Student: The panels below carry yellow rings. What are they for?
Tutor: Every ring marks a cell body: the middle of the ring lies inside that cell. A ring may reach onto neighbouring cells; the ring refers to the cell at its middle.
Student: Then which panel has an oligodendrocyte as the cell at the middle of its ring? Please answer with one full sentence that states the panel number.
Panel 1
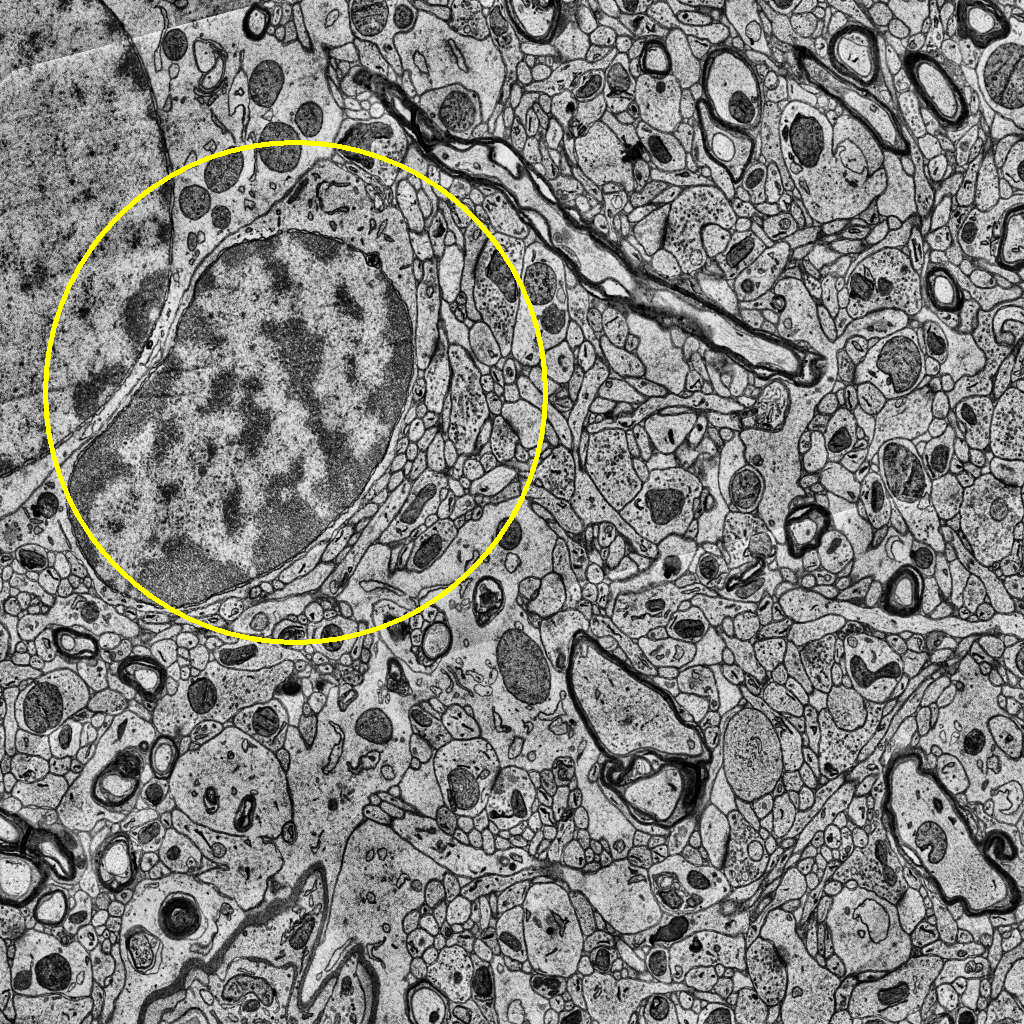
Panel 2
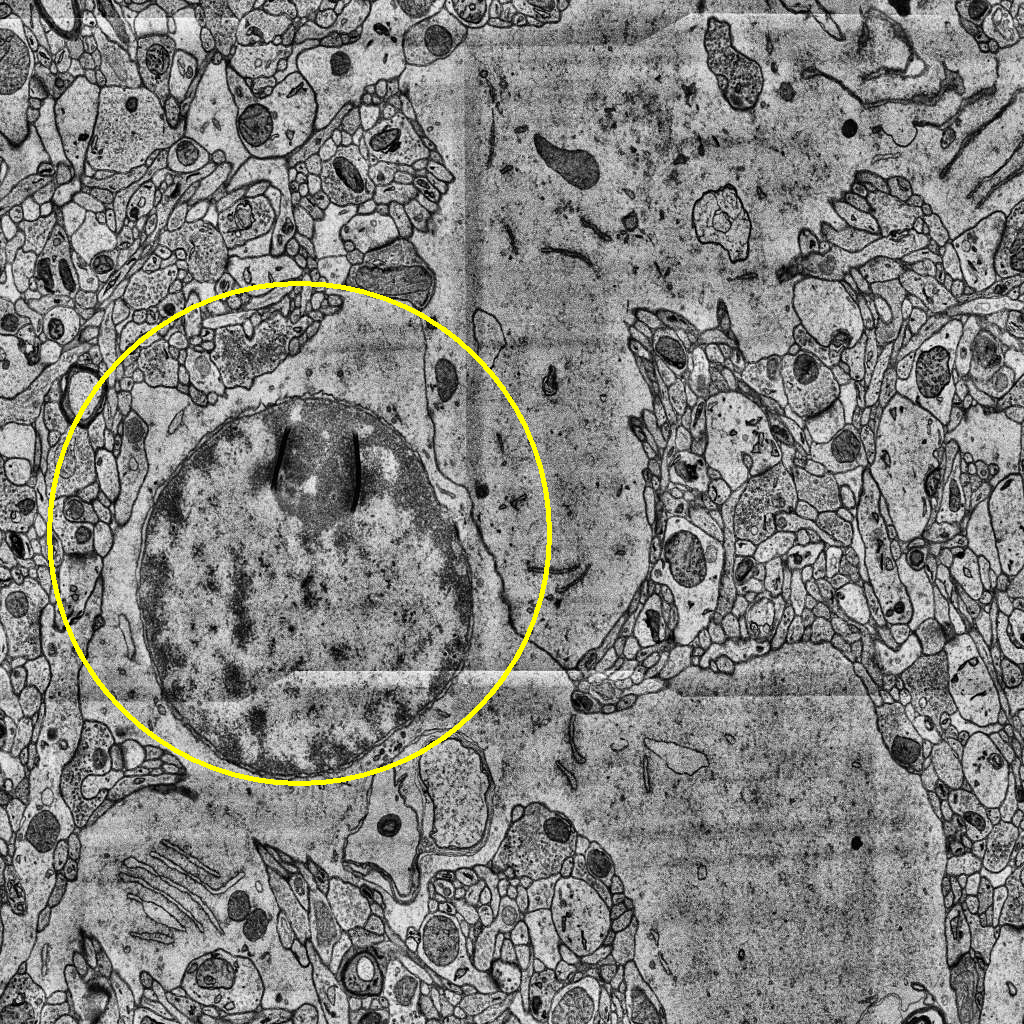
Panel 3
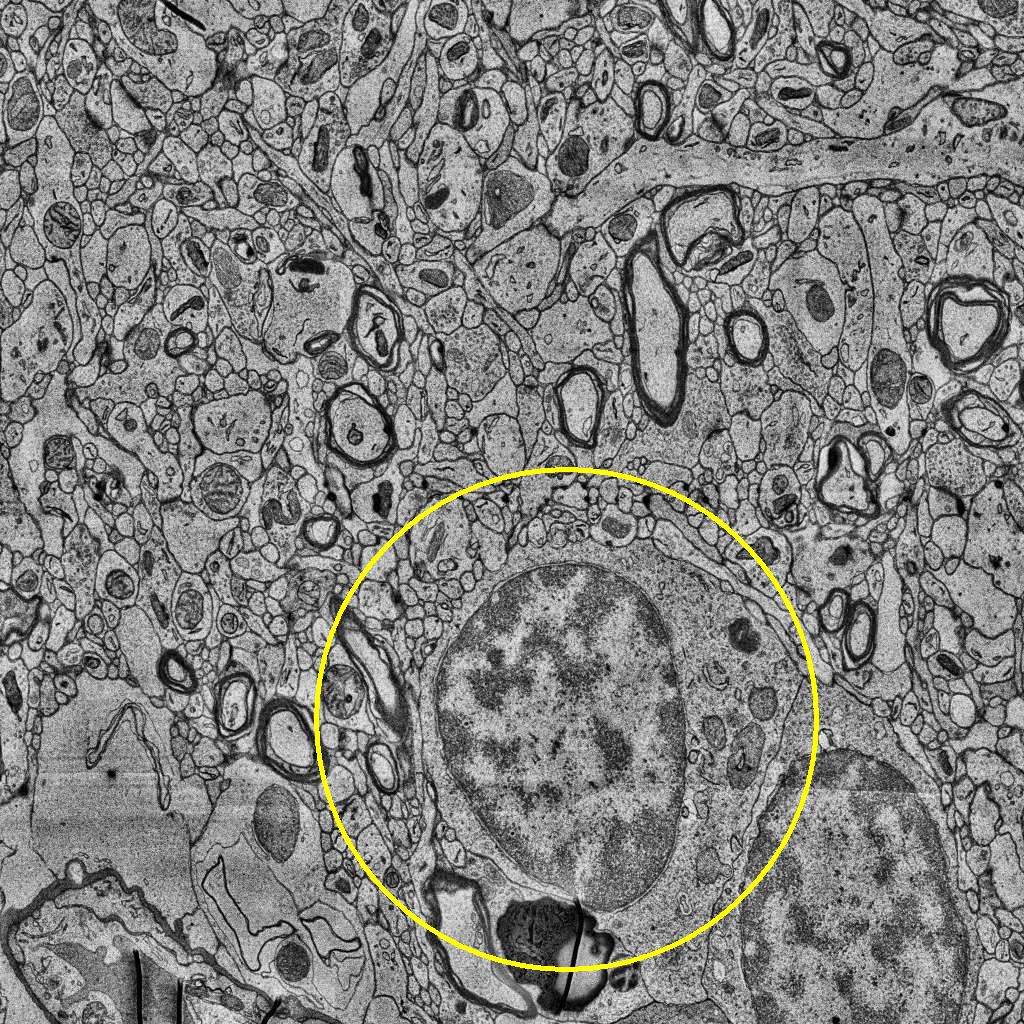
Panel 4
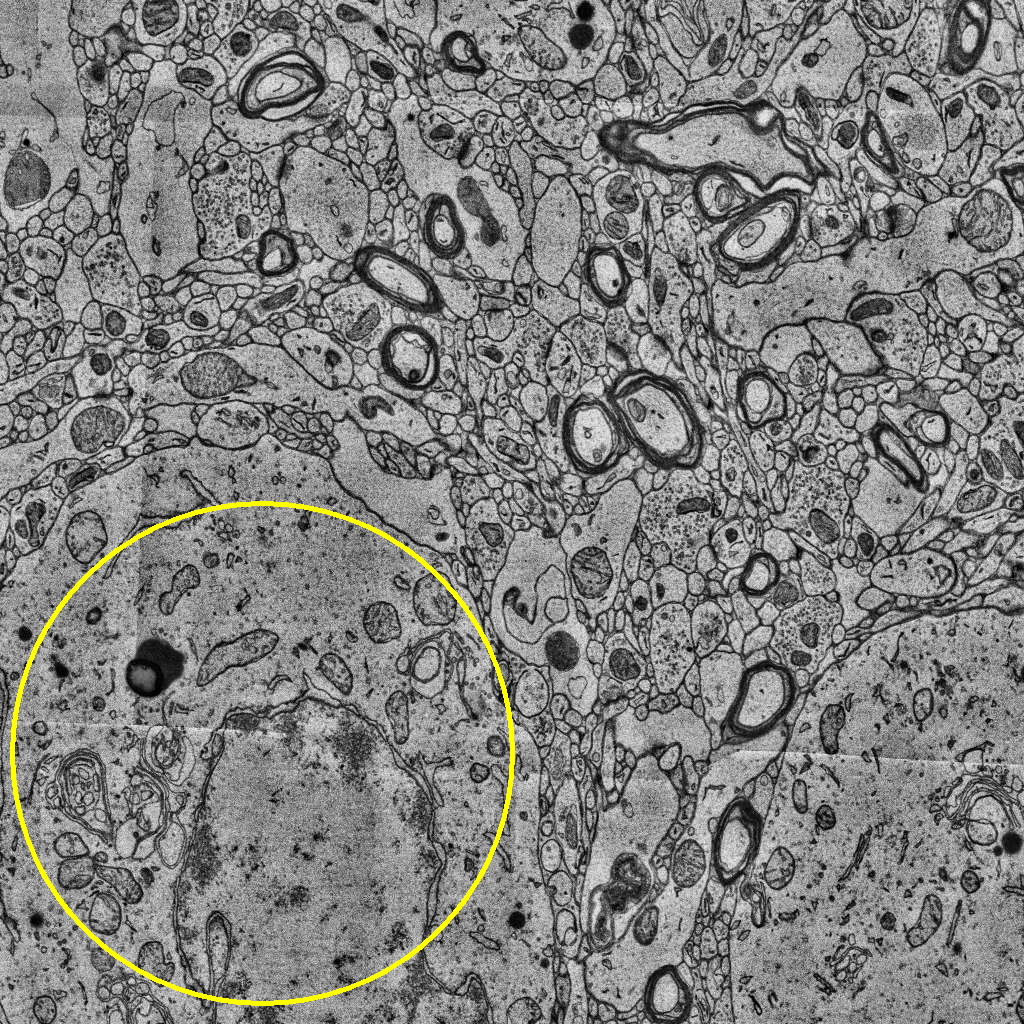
In Panel 3, the middle of the ring lies inside the cell body that is sought.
